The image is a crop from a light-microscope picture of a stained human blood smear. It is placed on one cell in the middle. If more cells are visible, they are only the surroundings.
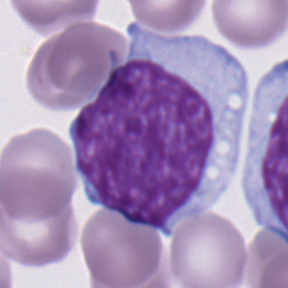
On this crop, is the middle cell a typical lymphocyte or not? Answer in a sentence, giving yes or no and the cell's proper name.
No, the central cell in this crop is a myeloblast and not a typical lymphocyte.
